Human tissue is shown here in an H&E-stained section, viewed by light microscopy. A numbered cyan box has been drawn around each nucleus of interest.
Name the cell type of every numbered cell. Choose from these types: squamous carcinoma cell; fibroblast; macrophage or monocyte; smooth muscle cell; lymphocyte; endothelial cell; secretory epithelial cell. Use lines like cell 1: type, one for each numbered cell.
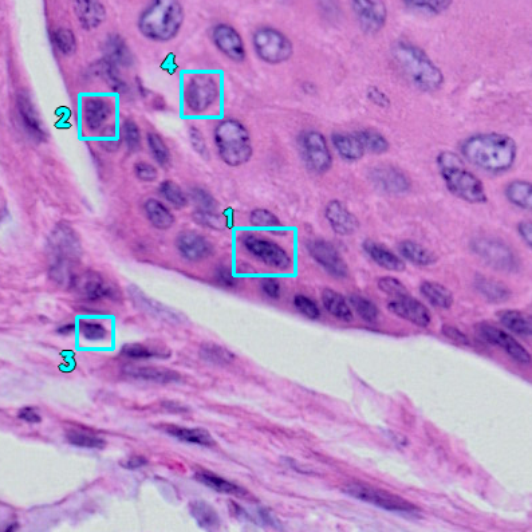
cell 1: squamous carcinoma cell
cell 2: squamous carcinoma cell
cell 3: lymphocyte
cell 4: squamous carcinoma cell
